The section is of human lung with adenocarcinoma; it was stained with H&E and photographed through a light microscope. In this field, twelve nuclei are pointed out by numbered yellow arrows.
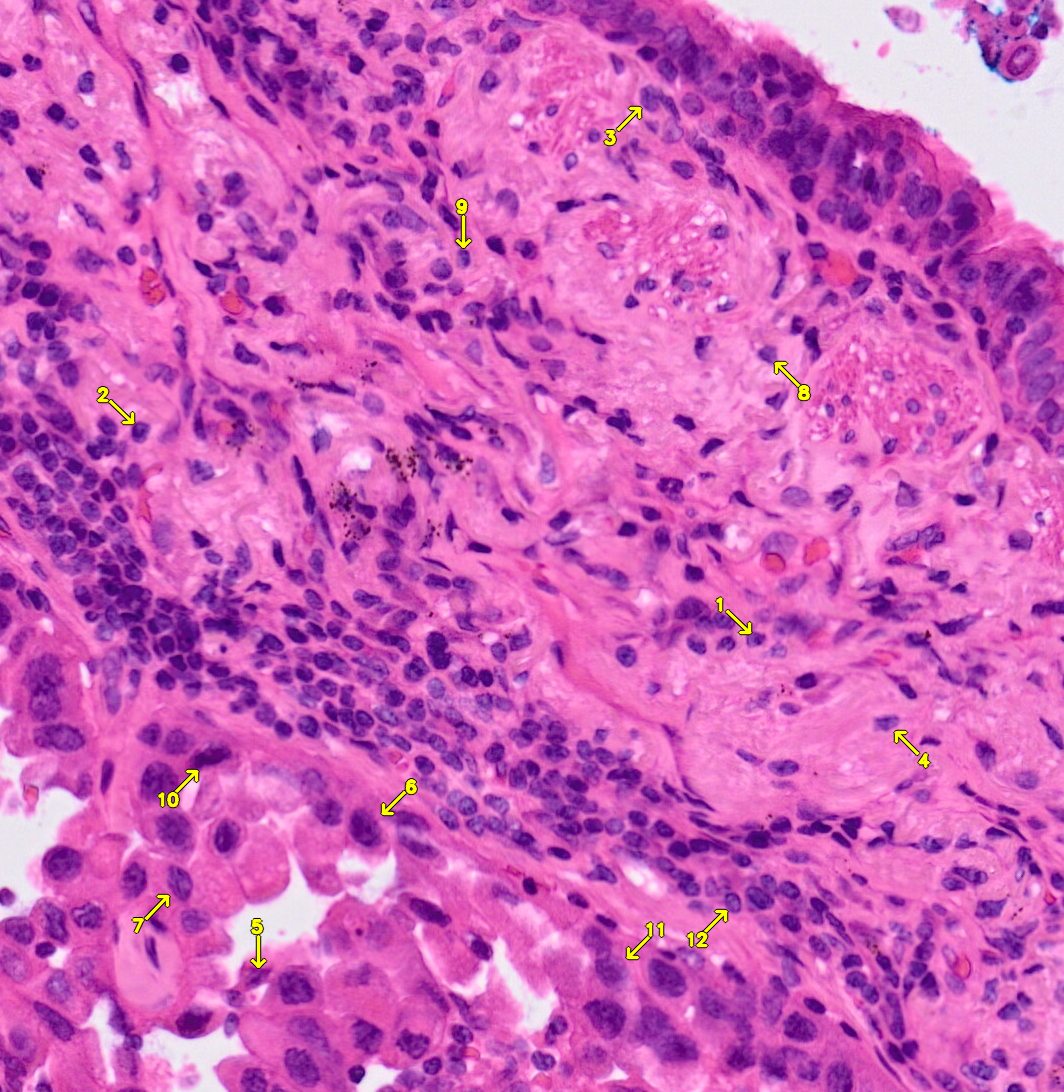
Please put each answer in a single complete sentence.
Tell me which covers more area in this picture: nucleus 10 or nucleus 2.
Number 10 is larger; its area is about 2.5 times that of number 2.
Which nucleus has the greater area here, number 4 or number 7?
Number 7 is larger; its area is about 2.5 times that of number 4.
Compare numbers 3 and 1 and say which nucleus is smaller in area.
The smaller nucleus is 1, and 3 covers roughly 1.5 times its area.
